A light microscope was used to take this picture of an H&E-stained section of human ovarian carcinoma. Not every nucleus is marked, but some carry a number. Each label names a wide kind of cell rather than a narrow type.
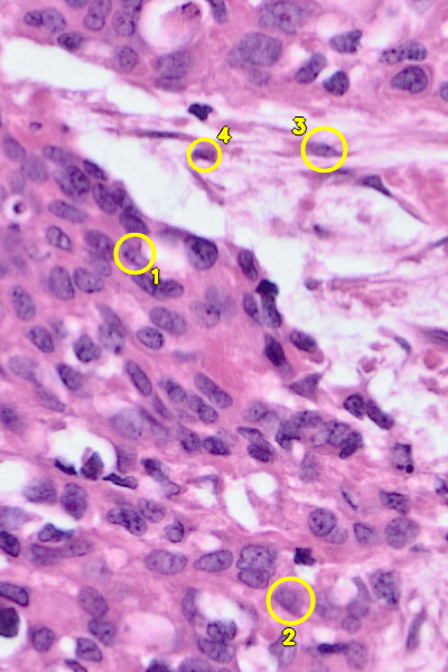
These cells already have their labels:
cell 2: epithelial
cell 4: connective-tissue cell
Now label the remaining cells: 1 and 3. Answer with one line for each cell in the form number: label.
1: epithelial
3: connective-tissue cell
